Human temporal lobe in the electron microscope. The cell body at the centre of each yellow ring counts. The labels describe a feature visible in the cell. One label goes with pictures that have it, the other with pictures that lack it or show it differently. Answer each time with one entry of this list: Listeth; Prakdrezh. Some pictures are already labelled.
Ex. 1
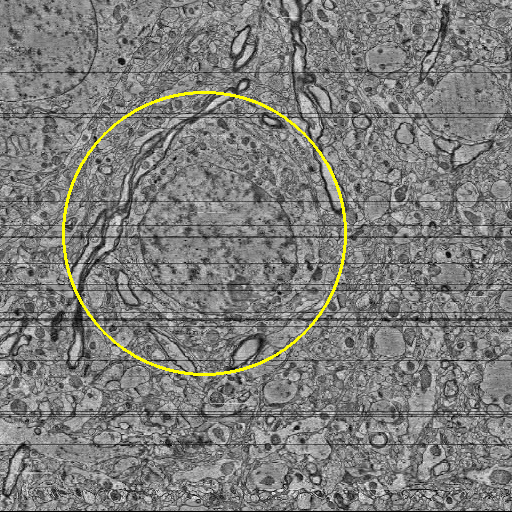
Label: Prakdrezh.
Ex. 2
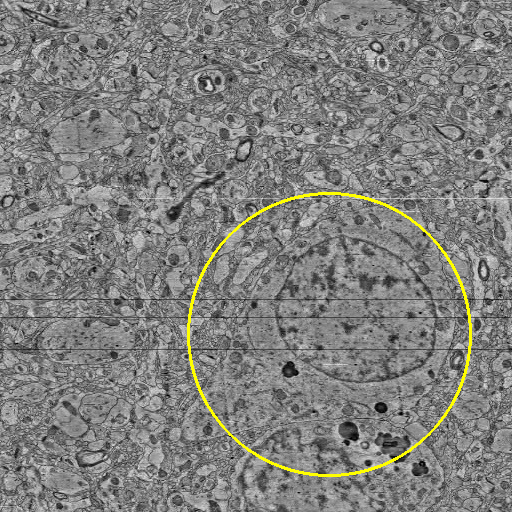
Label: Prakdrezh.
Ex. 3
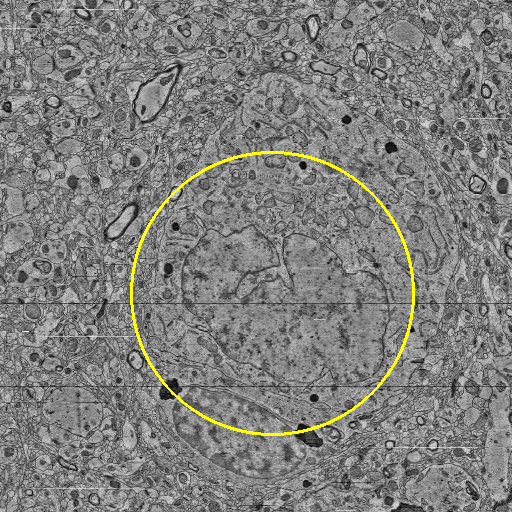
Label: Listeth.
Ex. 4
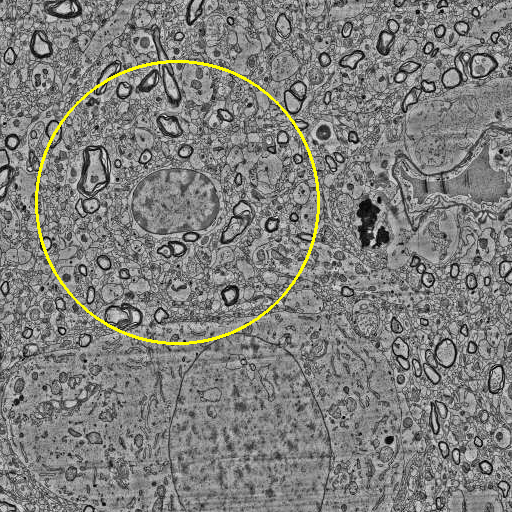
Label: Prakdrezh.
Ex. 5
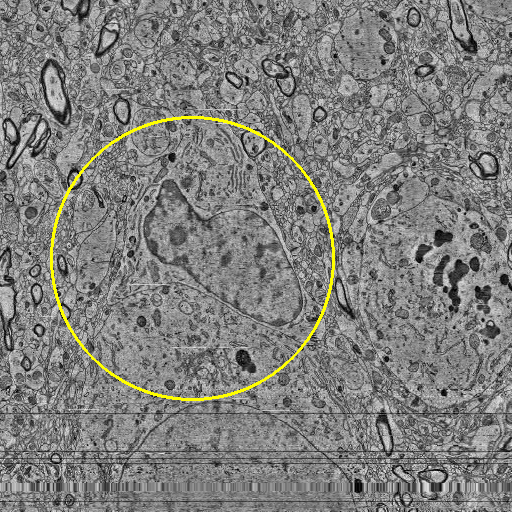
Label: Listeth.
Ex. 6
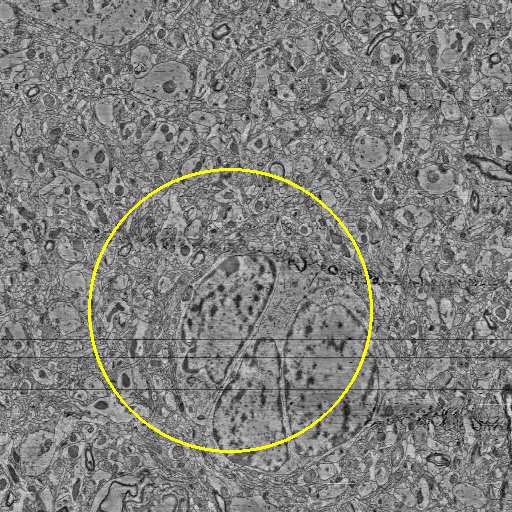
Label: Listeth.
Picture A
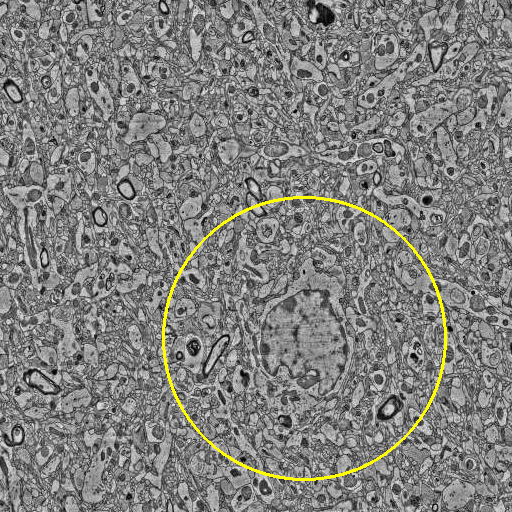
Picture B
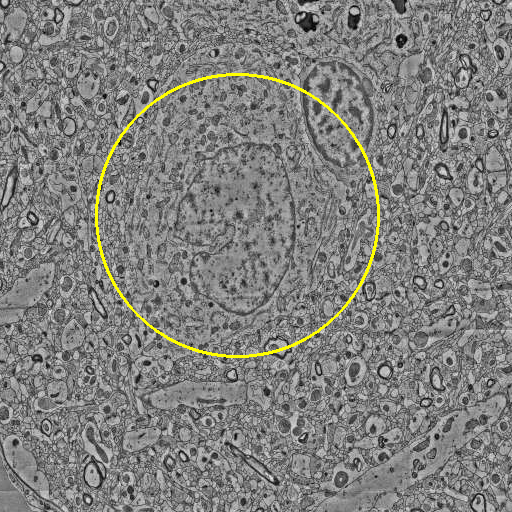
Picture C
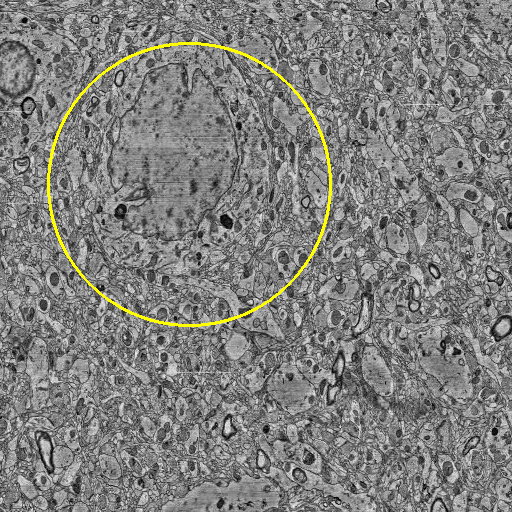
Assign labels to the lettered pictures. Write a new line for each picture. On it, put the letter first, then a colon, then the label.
A: Listeth.
B: Listeth.
C: Listeth.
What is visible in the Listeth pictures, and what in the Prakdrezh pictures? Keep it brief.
Listeth, deeply folded or indented nuclear envelopes; Prakdrezh, smooth nuclear envelopes without deep folds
